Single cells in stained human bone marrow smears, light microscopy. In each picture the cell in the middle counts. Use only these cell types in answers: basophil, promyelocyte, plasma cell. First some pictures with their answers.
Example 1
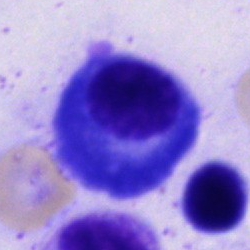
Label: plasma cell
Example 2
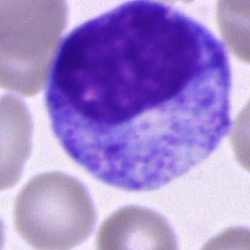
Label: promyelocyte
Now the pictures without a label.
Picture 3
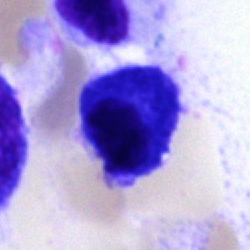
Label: plasma cell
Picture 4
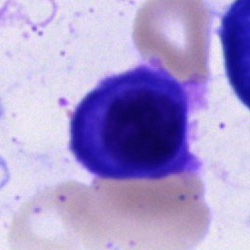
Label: plasma cell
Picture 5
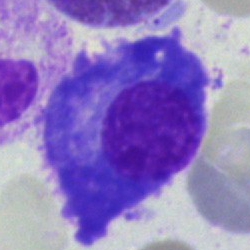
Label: plasma cell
